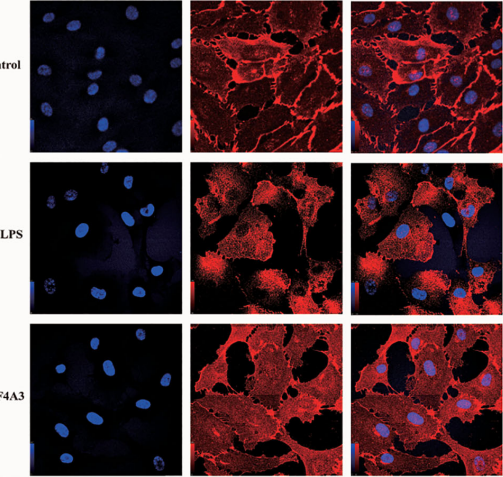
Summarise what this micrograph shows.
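This is a grid of fluorescence images of flat, spread cells in culture, each with an oval blue nucleus and red label in the cytoplasm and along the cell edges. In the top row the red label forms bright, mostly continuous lines where neighbouring cells meet, outlining the cells like a network. In the lower rows the cells are more irregular, with dark gaps between them, and the red label is more diffuse and granular through the cytoplasm, with fewer sharp lines at the borders.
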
